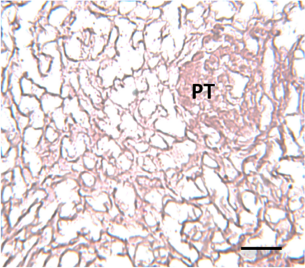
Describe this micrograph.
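No nuclei or intact cells are visible. A portal tract region on the right stands out as a denser, more compact area of pink fibrous matrix.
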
